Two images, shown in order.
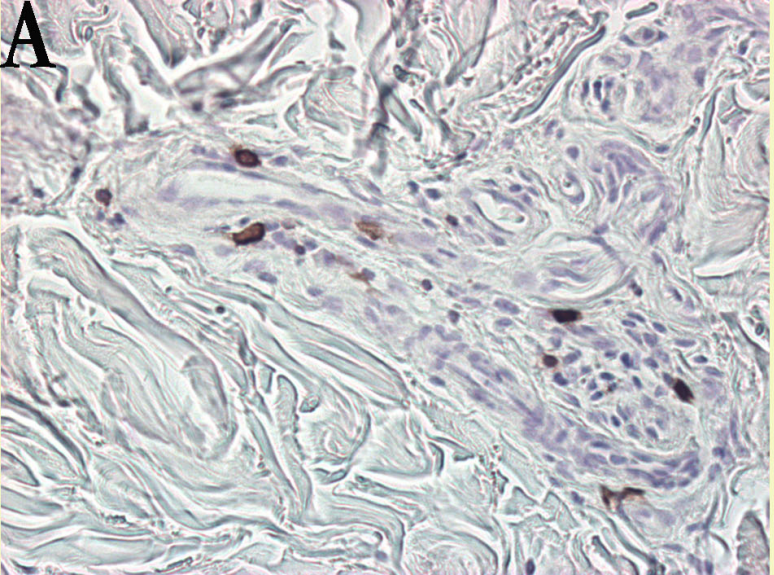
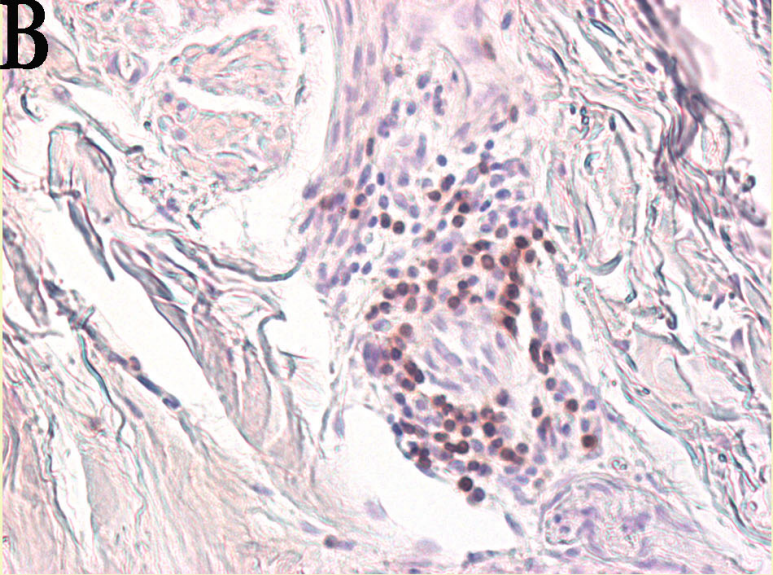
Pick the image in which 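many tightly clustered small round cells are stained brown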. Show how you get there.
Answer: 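The second image. Second image: a dense group of dozens of brown-stained small round cells. First image: only a handful of brown cells scattered singly in the tissue.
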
